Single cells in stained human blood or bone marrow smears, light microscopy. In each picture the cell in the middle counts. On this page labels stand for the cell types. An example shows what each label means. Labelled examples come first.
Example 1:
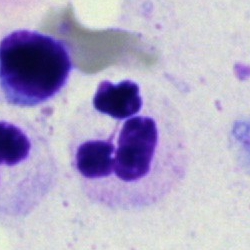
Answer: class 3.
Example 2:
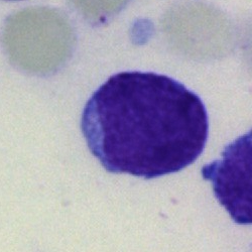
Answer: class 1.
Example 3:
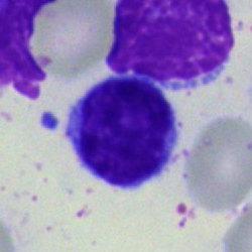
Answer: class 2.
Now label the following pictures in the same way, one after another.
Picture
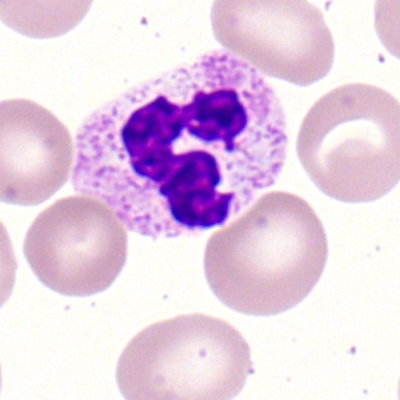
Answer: class 3.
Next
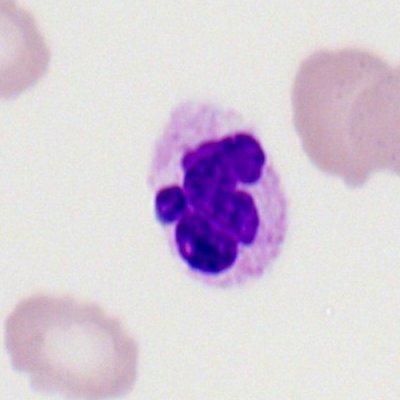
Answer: class 3.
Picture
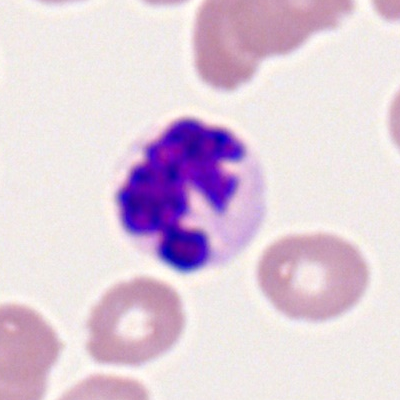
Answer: class 3.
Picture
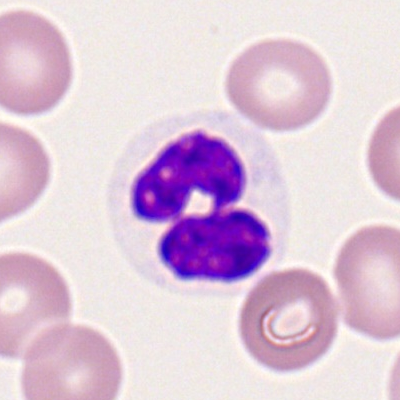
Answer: class 3.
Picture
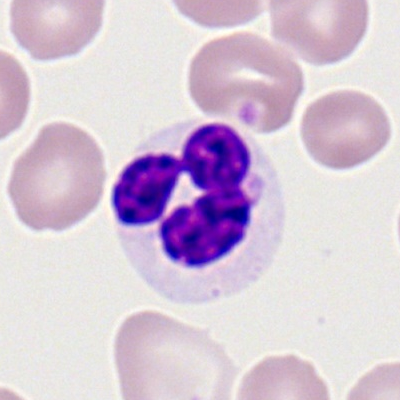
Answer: class 3.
